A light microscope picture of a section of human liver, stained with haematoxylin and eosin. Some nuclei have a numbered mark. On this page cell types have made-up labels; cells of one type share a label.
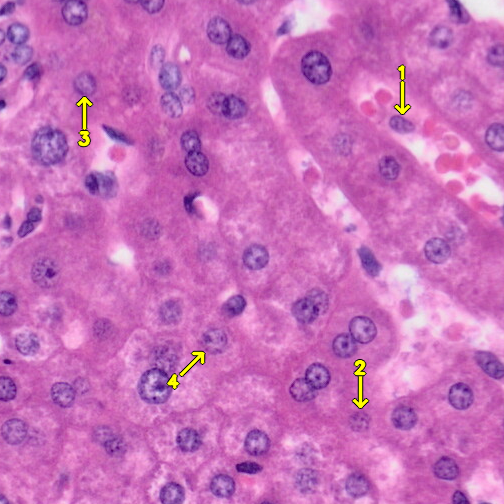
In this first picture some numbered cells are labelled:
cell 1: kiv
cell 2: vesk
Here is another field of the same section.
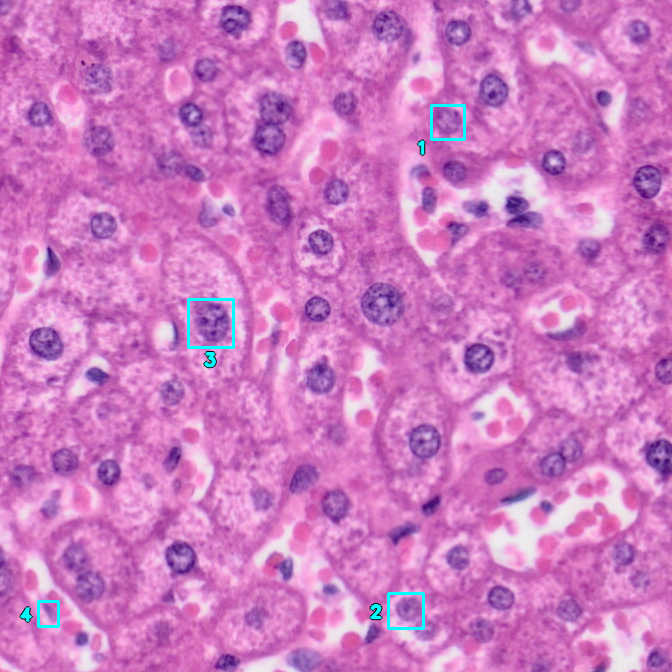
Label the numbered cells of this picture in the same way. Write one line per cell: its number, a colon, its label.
1: vesk
2: vesk
3: vesk
4: kiv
